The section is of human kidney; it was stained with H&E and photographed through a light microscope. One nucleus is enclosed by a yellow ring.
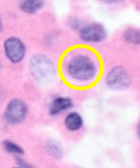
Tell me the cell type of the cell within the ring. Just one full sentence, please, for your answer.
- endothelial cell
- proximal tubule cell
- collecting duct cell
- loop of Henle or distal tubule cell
In this preparation, the cell within the ring is a loop of Henle or distal tubule cell.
